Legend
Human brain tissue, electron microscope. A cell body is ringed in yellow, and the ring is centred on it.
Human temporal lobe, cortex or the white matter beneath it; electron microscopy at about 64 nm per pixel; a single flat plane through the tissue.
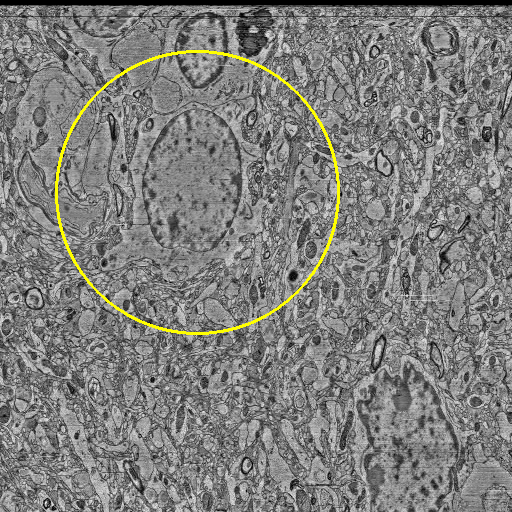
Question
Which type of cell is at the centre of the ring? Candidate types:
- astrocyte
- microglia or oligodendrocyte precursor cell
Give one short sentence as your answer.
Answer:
The yellow ring is centred here on an astrocyte.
